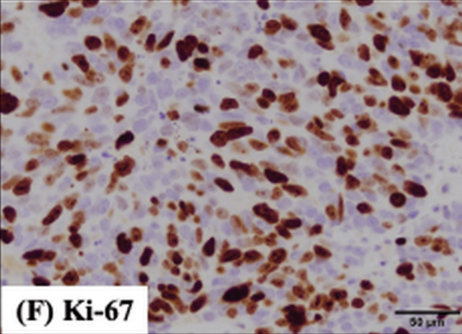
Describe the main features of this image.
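This is a sheet of tumor cells in which a large proportion of the nuclei are stained dark brown. The brown nuclei are scattered evenly throughout the field and vary in size and shape.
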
